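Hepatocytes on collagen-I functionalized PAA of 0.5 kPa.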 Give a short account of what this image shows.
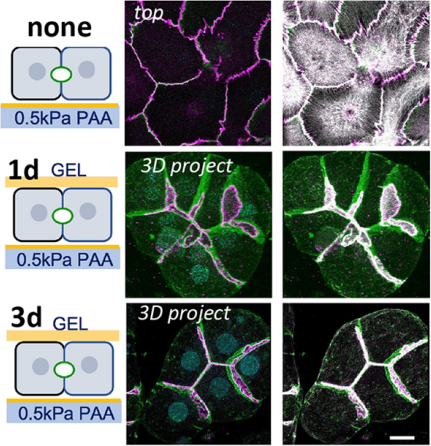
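In the top row the flat cells have polygonal outlines marked by thin magenta and white lines at their borders. In the lower rows narrow lumina open between neighbouring cells, lined by bright white and magenta, with green along the cell–cell contacts and round blue nuclei within the cells.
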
